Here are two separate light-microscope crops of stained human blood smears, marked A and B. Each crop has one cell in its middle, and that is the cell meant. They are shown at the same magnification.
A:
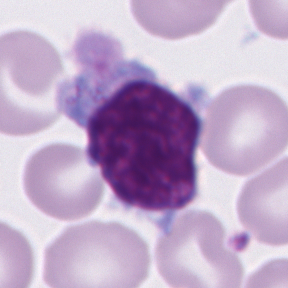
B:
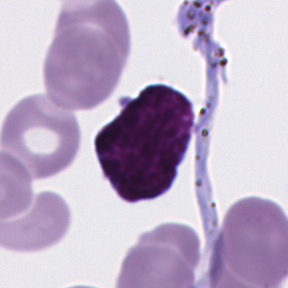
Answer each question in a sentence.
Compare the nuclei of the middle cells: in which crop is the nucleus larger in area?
Crop A shows the larger nucleus; it covers about 1.5 times the area of the nucleus in crop B.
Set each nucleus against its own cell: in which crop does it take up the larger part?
The nucleus fills more of the cell in crop B than in crop A.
